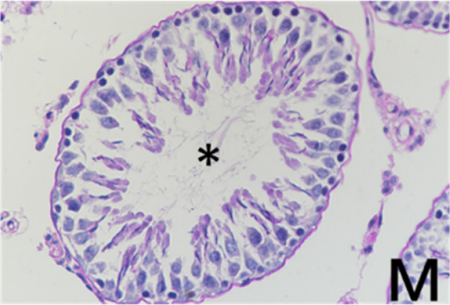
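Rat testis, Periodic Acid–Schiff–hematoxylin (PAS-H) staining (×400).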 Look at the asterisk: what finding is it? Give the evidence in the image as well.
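Reduced sperm density. The asterisk lies in the centre of a tubule whose lumen is largely empty. Few sperm tails fill the lumen around the asterisk.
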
